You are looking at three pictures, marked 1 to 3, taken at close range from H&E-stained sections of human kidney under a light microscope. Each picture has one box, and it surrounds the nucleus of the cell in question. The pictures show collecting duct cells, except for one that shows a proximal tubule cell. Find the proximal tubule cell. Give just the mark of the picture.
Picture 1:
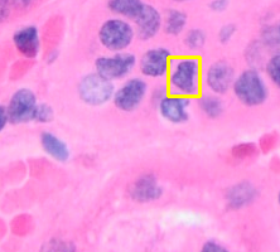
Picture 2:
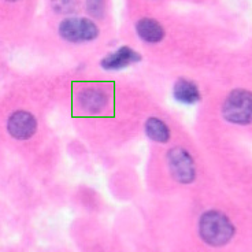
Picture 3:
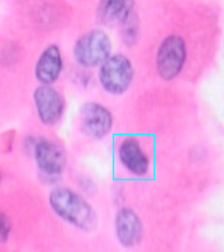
2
